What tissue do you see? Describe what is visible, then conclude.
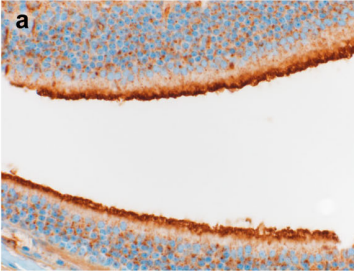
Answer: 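Nasal mucosa. Two thick layers of tall, many-nucleated epithelium face a narrow air space. The luminal surface of each layer stains strongly brown.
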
